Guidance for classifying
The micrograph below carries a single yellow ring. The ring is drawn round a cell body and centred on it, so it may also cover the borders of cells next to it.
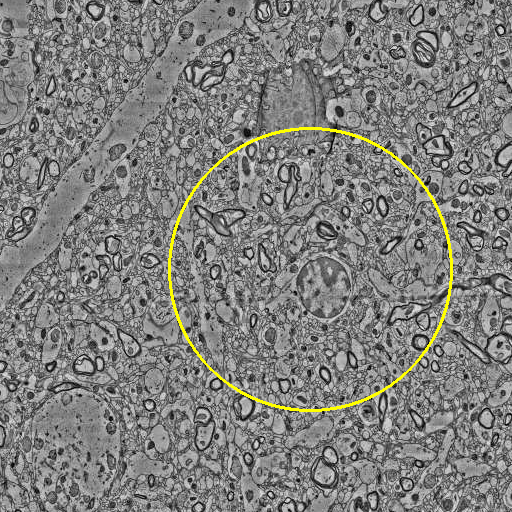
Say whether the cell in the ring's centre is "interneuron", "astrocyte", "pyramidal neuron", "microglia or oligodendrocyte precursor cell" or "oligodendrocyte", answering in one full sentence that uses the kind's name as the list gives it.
Within the yellow ring, a microglial cell or oligodendrocyte precursor cell is the cell whose body sits at the centre.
